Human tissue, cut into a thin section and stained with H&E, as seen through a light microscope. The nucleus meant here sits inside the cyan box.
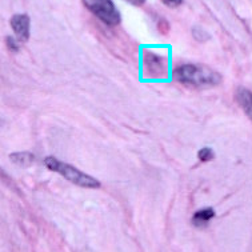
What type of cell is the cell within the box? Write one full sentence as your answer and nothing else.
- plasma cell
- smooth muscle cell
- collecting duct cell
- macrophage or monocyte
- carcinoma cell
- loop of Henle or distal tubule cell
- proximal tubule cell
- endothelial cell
Just put down that the cell within the box is an endothelial cell.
